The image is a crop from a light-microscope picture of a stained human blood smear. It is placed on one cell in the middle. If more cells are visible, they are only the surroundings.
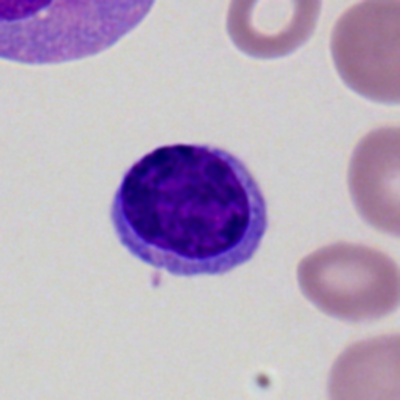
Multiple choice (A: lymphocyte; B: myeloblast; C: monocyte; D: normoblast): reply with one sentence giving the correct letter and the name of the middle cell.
For this crop, option A is right, the centered cell being a lymphocyte.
